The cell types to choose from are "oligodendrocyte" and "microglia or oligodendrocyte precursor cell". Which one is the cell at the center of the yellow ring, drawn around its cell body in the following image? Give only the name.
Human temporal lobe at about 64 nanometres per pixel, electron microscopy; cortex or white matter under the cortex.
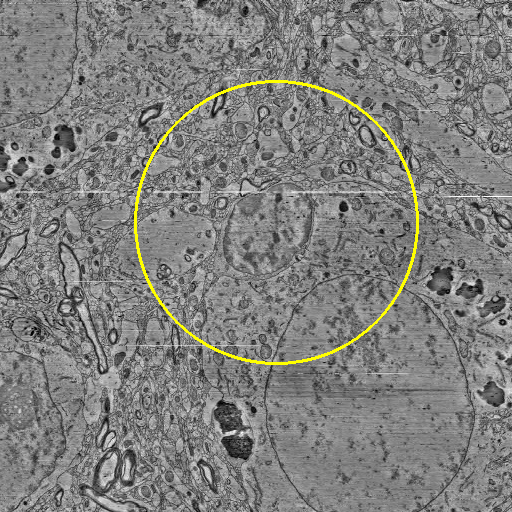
oligodendrocyte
